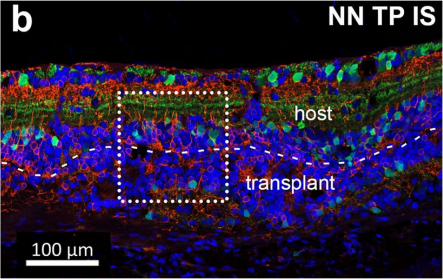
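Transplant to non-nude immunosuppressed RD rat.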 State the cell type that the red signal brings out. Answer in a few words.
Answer: Rod bipolar interneurons.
